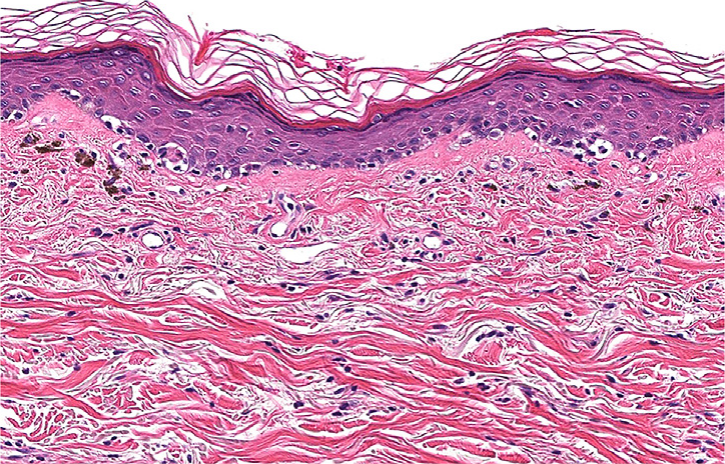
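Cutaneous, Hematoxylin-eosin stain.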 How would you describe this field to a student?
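Skin with a thin epidermis under a basket-weave cornified layer, with vacuoles along the basal layer and small dark round lymphocytes lying against the dermoepidermal junction. The upper dermis holds scattered small cells, small vessels and clumps of brown pigment, above looser collagen bundles.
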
